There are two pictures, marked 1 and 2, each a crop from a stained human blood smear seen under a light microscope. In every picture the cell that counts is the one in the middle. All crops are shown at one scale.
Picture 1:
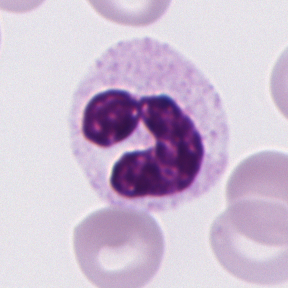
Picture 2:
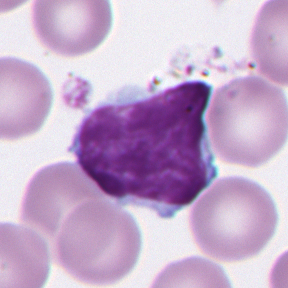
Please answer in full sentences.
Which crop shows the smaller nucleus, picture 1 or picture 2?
The nucleus in picture 1 is smaller; the one in picture 2 has about 1.5 times its area.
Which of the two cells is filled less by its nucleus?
It is the cell in picture 1 that is filled less by its nucleus.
